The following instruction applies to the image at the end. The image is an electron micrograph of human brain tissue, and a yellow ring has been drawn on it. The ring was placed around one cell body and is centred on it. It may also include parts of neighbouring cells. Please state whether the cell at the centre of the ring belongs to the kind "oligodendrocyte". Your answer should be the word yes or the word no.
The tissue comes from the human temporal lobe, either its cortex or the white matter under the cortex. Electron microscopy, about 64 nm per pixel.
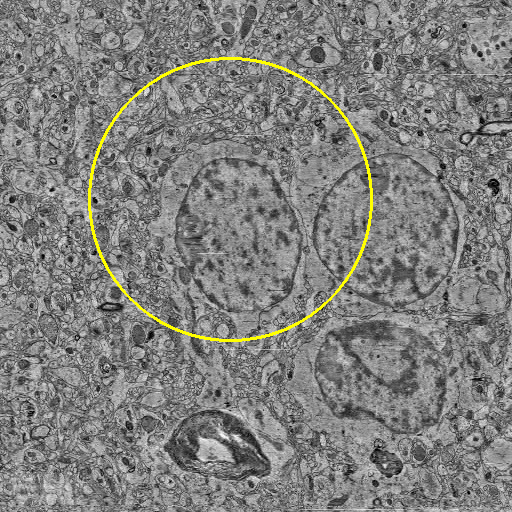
no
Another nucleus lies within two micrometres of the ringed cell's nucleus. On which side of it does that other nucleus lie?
That other nucleus appears to the right of it.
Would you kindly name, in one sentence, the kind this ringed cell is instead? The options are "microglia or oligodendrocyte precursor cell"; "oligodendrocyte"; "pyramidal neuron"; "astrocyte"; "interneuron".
The ring's central cell is an astrocyte instead.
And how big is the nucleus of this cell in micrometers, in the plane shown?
Approximately 10 micrometres long and 8 micrometres wide, in this plane.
